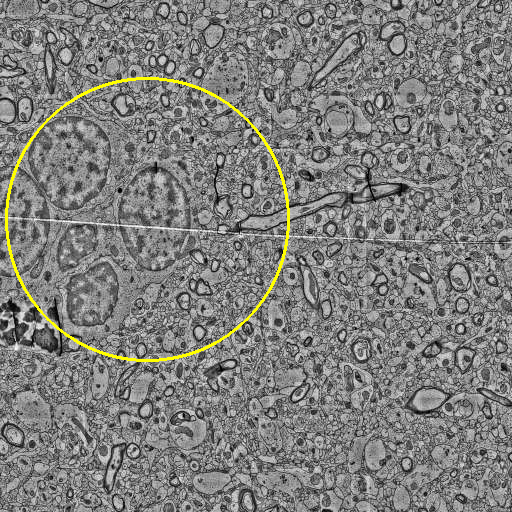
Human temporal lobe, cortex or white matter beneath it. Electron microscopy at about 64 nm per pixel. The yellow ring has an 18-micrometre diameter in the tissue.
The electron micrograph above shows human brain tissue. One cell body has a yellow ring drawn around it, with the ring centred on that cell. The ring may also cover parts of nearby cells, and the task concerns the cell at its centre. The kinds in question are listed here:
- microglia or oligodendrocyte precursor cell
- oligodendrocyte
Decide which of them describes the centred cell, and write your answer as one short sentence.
The centred cell is an oligodendrocyte.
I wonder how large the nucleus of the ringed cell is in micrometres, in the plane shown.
The nucleus has a long axis of about 7 micrometres and a short axis of about 5 micrometres in this plane.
